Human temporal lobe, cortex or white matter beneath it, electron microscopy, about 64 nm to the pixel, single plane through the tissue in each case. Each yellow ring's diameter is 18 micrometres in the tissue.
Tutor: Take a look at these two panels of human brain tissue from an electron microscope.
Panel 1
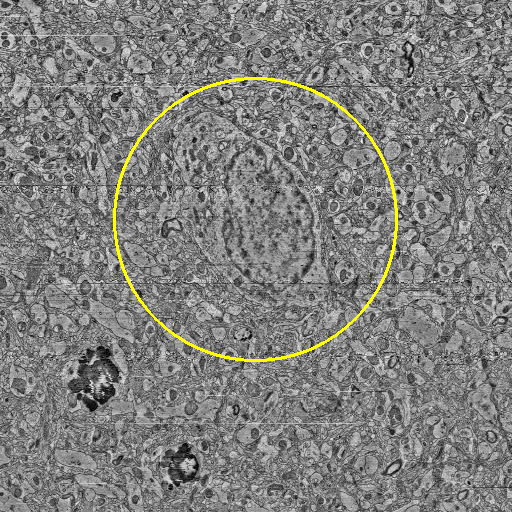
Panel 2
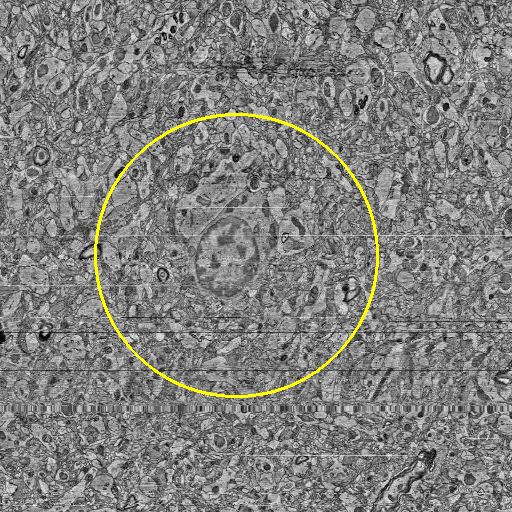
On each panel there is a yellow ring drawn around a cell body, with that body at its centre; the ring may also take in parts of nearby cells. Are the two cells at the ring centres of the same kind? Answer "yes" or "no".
no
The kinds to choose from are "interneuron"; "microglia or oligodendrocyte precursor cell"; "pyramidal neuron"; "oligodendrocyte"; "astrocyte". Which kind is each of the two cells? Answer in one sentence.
Of the two, the first cell is an interneuron and the second cell is an oligodendrocyte.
